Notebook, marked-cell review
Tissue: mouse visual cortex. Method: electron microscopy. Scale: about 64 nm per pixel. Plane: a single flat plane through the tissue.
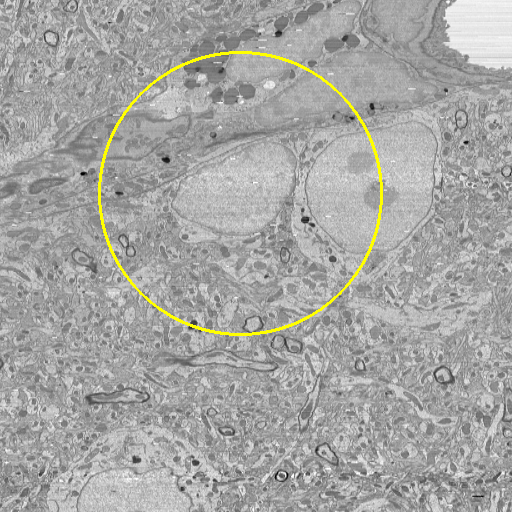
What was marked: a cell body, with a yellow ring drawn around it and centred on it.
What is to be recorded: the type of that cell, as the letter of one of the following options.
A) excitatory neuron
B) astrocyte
B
